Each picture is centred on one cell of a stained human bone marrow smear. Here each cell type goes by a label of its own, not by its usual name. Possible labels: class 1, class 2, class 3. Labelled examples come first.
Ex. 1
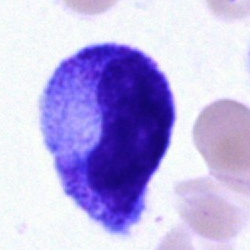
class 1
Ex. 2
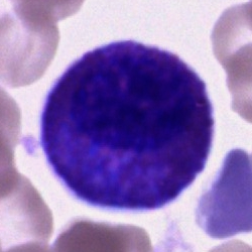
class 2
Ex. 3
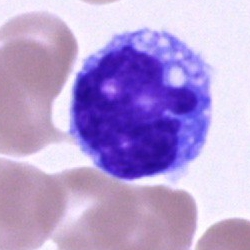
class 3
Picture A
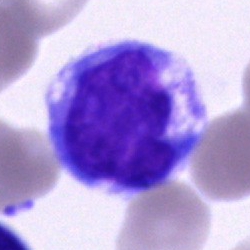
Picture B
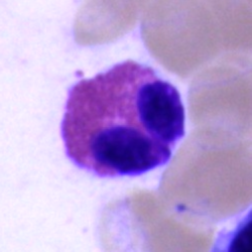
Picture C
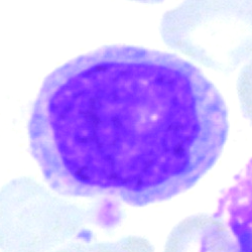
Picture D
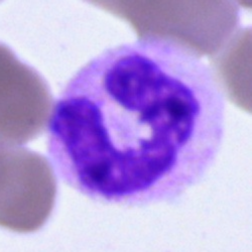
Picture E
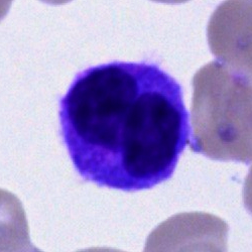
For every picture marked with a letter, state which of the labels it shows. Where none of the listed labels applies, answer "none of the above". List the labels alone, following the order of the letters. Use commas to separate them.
class 3, class 2, class 3, none of the above, class 3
